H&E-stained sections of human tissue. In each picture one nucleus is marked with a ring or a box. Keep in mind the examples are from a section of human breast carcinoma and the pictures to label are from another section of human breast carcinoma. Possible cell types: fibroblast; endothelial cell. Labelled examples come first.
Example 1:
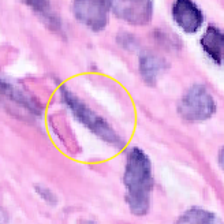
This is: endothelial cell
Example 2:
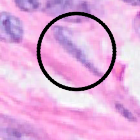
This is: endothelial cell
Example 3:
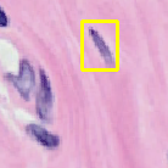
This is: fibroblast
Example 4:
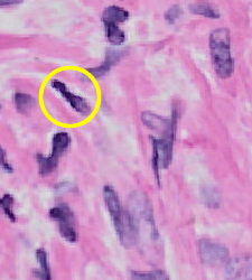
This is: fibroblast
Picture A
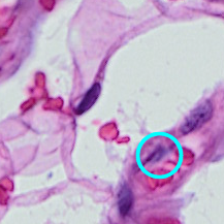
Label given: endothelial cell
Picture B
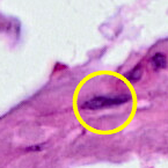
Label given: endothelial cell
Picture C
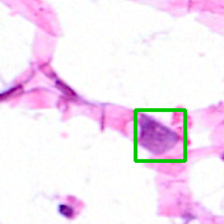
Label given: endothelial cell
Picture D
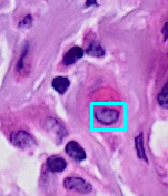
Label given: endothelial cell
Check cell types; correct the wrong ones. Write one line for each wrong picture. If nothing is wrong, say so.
B is labelled endothelial cell; correct label: fibroblast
